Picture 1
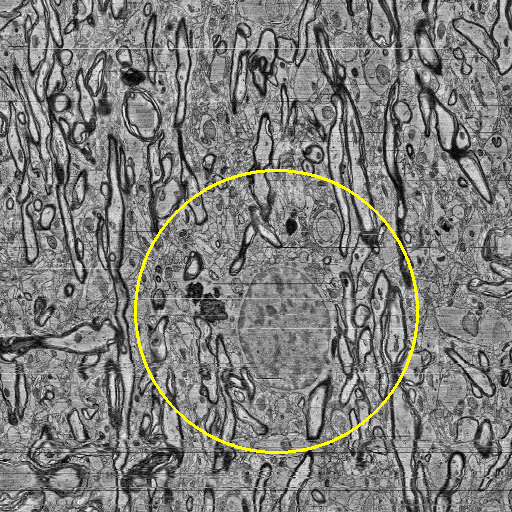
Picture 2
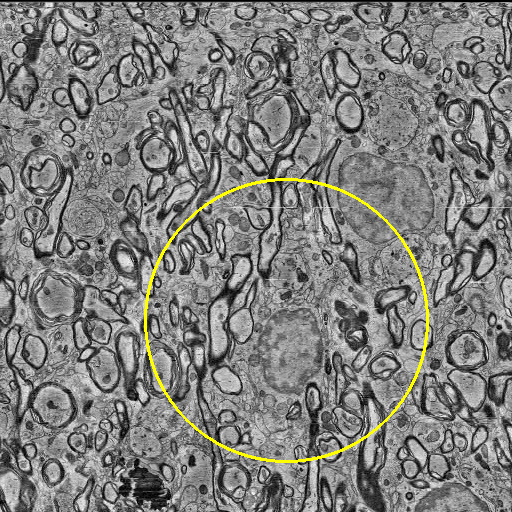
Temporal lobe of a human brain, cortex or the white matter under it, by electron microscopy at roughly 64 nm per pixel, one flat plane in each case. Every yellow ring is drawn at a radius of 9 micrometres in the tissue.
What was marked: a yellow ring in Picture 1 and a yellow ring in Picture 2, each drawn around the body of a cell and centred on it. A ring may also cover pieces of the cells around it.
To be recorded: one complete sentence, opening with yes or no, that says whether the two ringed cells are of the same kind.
Yes, the two ringed cells are of the same kind.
